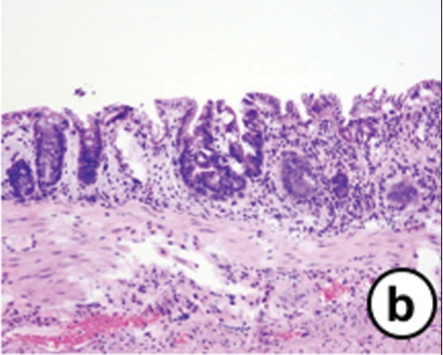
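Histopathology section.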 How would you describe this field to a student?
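The mucosa at the top holds crypts of irregular size and shape; some are lined by cells with crowded, darkly purple nuclei, others are enlarged with wider lumina and mucus-filled cells. Between the crypts the lamina propria contains many small round nuclei. Below the mucosa lie pink bands of smooth muscle and looser connective tissue with small blood vessels containing red cells. The surface epithelium is uneven, with tufted projections.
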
